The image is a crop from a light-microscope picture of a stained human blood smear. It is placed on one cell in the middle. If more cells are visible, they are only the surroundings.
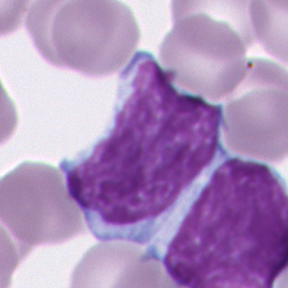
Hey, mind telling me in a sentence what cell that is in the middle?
On this slide crop, the central cell is a typical lymphocyte.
